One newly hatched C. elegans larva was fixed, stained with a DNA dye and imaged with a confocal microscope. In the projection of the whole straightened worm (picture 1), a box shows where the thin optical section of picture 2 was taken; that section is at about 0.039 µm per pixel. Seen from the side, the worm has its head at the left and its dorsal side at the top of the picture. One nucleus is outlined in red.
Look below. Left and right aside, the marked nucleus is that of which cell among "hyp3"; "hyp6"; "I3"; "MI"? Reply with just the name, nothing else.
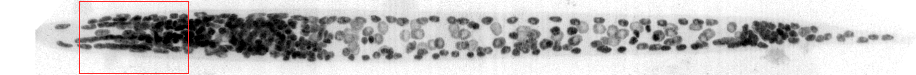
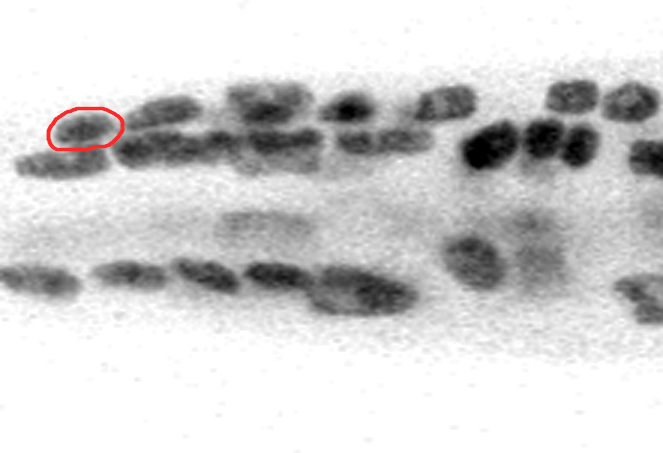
hyp3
